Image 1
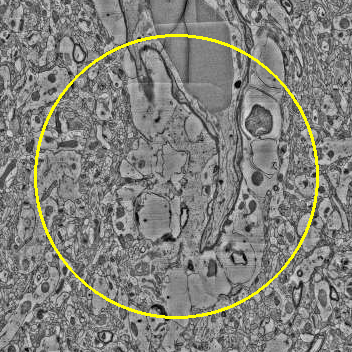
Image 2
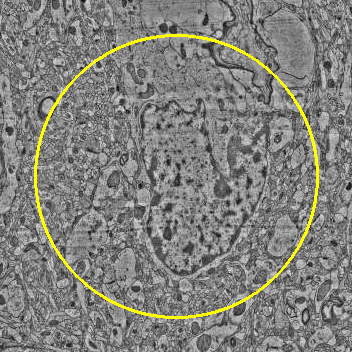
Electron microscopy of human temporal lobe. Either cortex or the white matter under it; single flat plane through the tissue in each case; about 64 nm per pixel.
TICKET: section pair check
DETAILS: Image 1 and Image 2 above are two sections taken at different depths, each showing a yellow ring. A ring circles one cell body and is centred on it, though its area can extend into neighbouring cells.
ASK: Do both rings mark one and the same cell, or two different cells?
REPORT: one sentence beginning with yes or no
Yes, the same cell turns up inside each of the two rings.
